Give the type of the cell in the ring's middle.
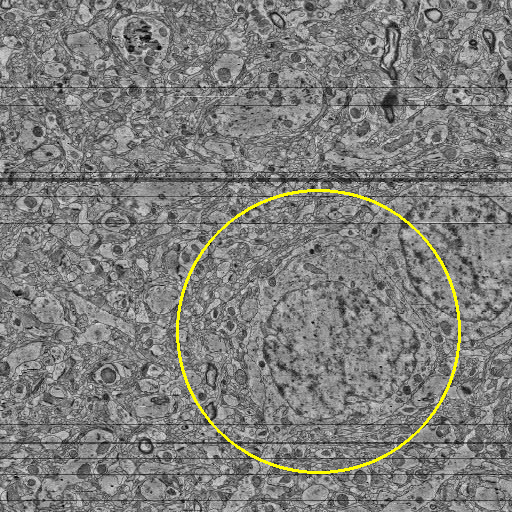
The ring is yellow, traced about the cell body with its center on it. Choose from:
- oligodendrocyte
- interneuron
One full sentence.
Here, an interneuron is the cell lying at the center of the yellow ring.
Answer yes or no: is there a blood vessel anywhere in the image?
No, no vessel shows anywhere in the image.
